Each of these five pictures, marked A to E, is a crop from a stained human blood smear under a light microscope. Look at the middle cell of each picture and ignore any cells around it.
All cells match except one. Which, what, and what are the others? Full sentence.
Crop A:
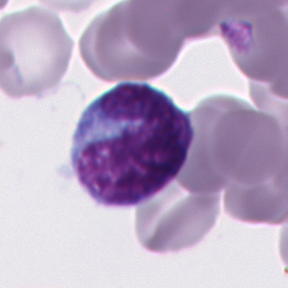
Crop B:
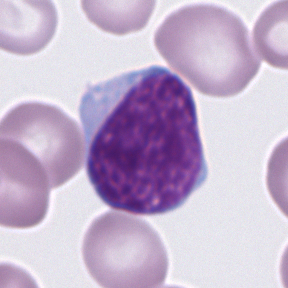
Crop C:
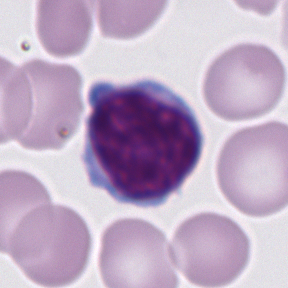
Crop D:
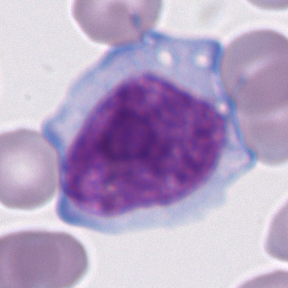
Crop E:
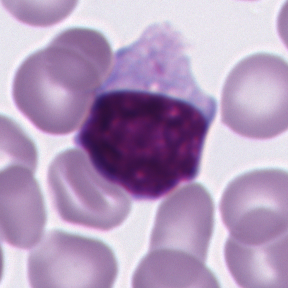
With the other crops all showing typical lymphocytes, crop D differs by showing a myeloblast.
